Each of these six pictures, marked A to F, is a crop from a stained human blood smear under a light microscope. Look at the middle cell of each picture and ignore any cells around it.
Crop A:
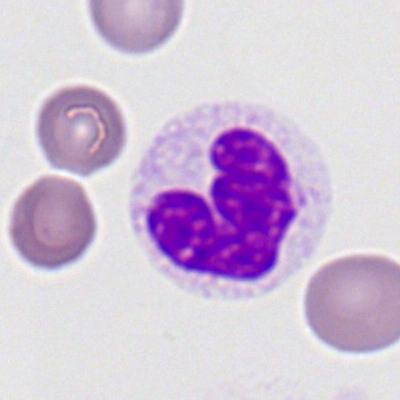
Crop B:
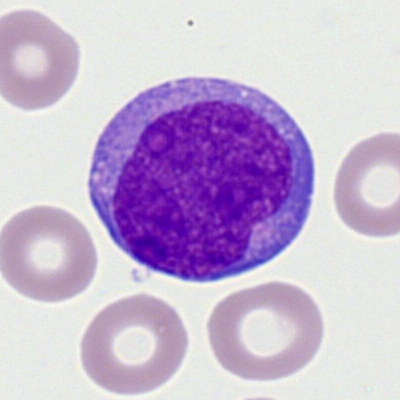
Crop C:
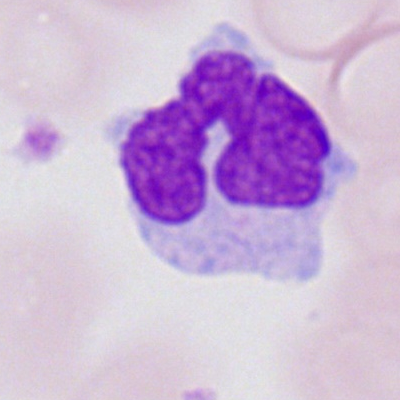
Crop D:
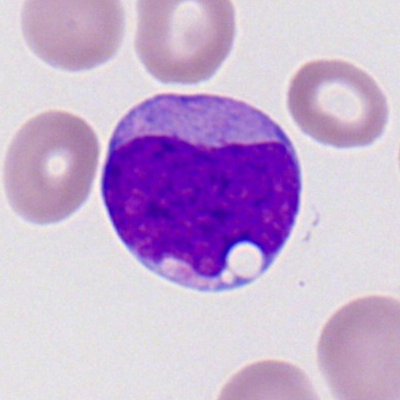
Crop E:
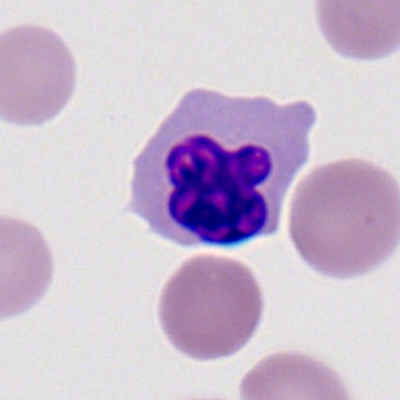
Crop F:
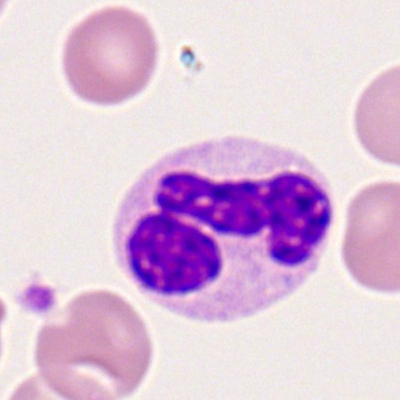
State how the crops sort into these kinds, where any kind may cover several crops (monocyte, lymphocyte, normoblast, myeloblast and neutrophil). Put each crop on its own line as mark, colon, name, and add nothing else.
A: neutrophil
B: myeloblast
C: monocyte
D: myeloblast
E: normoblast
F: neutrophil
